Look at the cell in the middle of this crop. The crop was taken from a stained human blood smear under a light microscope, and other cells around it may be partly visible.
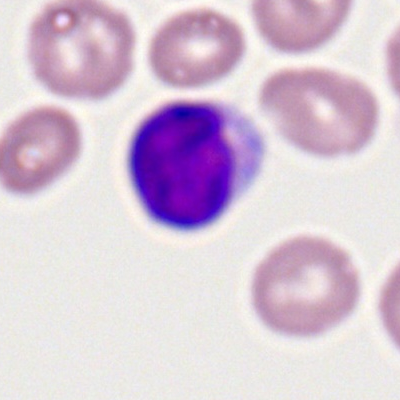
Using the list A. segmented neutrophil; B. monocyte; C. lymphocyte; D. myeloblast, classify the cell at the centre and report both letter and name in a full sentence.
Option C is correct; the cell in the middle is a lymphocyte.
